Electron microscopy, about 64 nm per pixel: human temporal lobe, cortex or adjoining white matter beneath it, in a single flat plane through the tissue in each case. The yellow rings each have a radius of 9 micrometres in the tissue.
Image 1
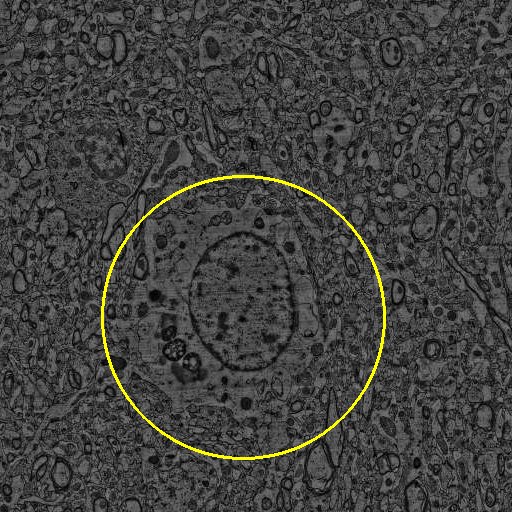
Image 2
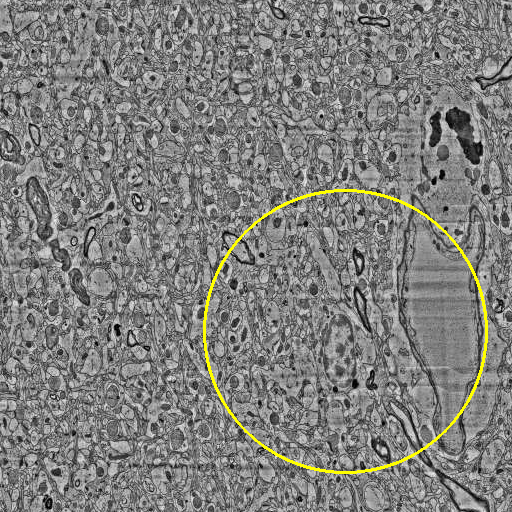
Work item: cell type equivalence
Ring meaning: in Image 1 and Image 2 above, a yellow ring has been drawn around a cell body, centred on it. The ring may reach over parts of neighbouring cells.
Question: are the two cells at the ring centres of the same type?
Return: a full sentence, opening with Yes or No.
No, the two centred cells are of two types.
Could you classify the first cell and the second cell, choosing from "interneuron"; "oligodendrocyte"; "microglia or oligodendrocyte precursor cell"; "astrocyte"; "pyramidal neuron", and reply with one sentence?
The second cell is a microglial cell or oligodendrocyte precursor cell, while the first is an astrocyte.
